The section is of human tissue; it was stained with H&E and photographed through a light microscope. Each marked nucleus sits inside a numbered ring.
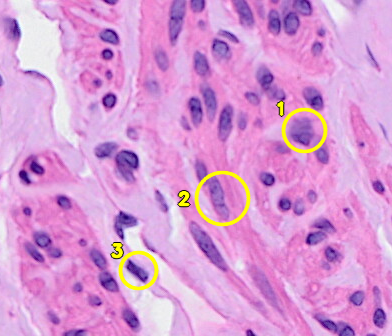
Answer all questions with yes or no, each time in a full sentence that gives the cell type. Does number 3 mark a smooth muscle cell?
No, number 3 corresponds to a fibroblast, not a smooth muscle cell.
